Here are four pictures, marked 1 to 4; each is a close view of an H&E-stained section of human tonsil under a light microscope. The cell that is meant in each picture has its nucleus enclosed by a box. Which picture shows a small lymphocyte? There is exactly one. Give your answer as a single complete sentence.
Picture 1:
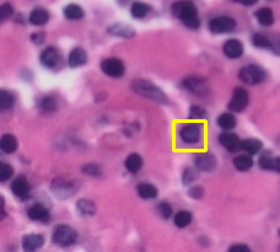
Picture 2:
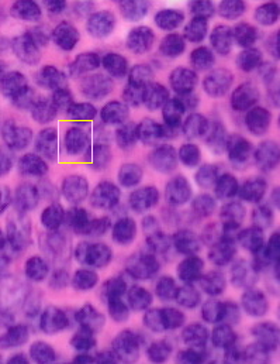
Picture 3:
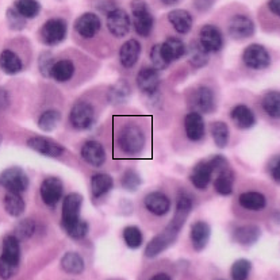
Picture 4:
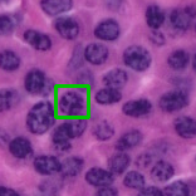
The cell in picture 2 is the small lymphocyte.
